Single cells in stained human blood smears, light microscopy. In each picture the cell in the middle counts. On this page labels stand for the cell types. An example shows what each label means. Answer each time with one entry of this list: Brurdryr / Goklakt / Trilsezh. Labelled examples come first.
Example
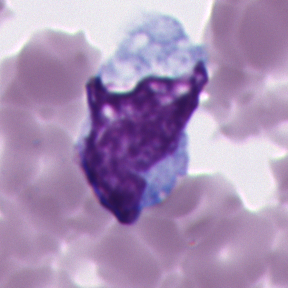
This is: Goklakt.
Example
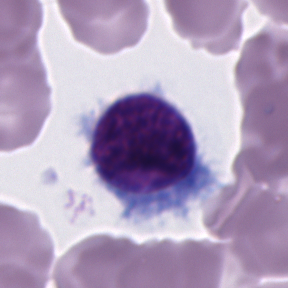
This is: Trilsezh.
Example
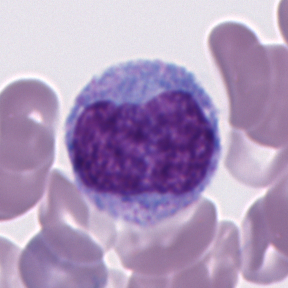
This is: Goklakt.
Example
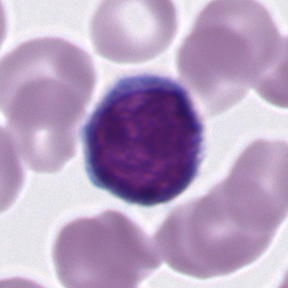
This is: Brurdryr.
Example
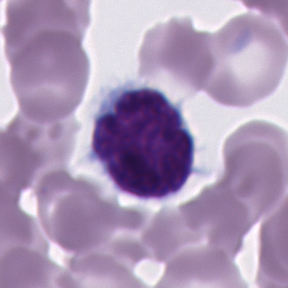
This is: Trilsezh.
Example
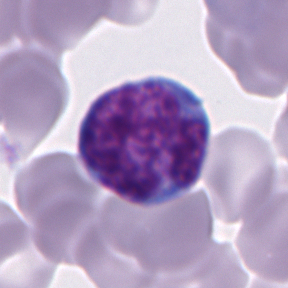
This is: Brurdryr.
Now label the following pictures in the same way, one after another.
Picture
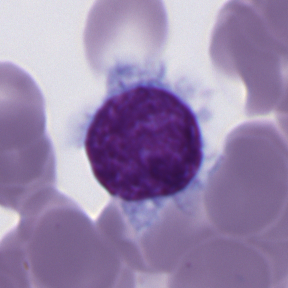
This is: Trilsezh.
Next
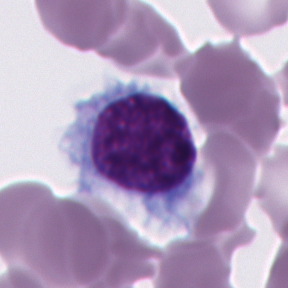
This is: Trilsezh.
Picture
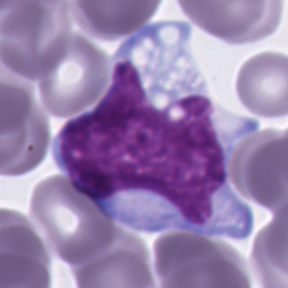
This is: Goklakt.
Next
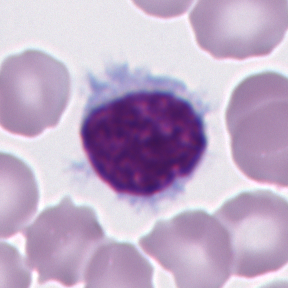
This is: Trilsezh.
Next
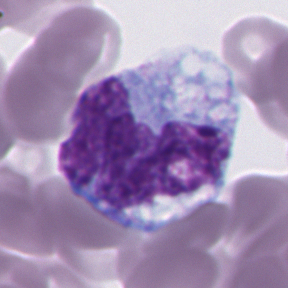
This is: Goklakt.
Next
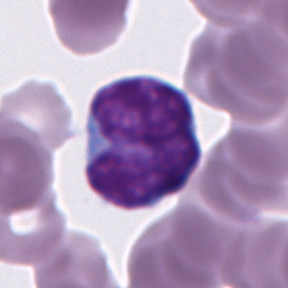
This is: Brurdryr.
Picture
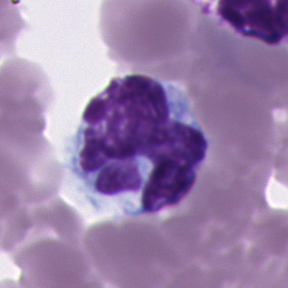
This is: Goklakt.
